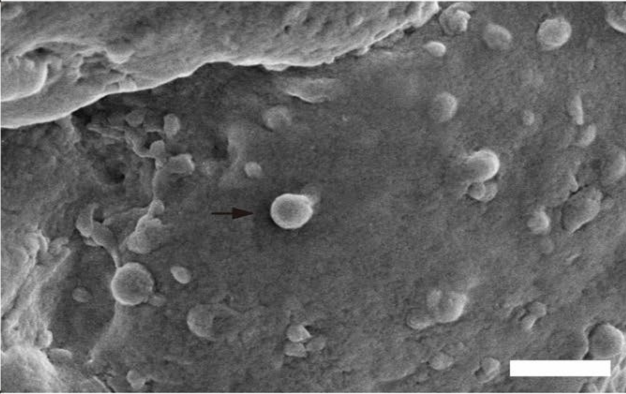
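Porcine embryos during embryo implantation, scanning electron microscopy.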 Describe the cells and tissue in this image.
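A raised, wrinkled fold crosses the upper left. Below it lies a broad, finely textured surface. Many small, smooth, rounded bodies of differing sizes sit scattered over it, some single and some in small groups. An arrow marks one well-formed sphere that stands out from the surface.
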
